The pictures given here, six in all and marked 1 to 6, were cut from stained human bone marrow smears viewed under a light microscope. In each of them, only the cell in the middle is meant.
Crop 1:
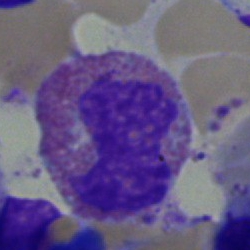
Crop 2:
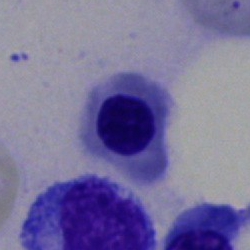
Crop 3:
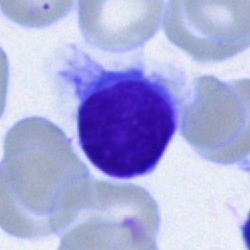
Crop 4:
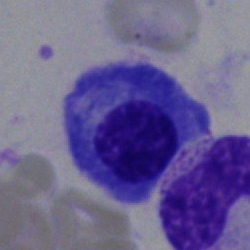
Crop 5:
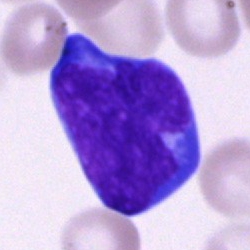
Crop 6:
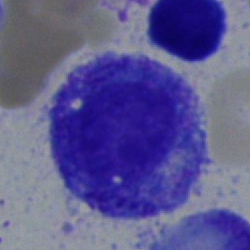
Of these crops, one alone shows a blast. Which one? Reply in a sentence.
Crop 5 is the crop containing a blast.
